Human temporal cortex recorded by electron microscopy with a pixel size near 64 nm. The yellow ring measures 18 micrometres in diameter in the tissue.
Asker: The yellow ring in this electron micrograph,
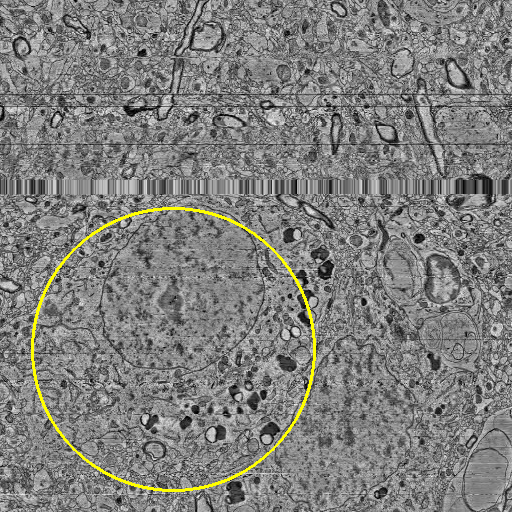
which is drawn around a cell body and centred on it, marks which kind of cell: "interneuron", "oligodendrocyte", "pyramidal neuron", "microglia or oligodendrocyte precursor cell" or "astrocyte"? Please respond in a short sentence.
The marked cell is a pyramidal neuron.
